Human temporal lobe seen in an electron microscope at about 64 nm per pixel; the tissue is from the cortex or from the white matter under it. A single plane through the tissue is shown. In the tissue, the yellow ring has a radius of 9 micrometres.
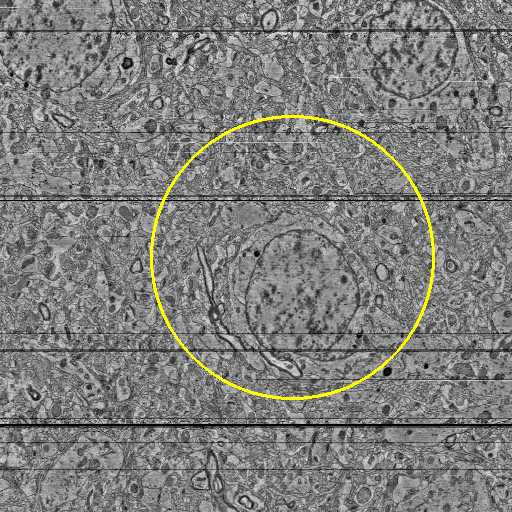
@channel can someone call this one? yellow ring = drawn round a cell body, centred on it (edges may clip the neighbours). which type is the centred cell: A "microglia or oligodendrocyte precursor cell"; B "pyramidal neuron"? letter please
B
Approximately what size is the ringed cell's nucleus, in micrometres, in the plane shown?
Roughly 9 micrometres by 7 micrometres, in this plane.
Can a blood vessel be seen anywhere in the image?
No.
